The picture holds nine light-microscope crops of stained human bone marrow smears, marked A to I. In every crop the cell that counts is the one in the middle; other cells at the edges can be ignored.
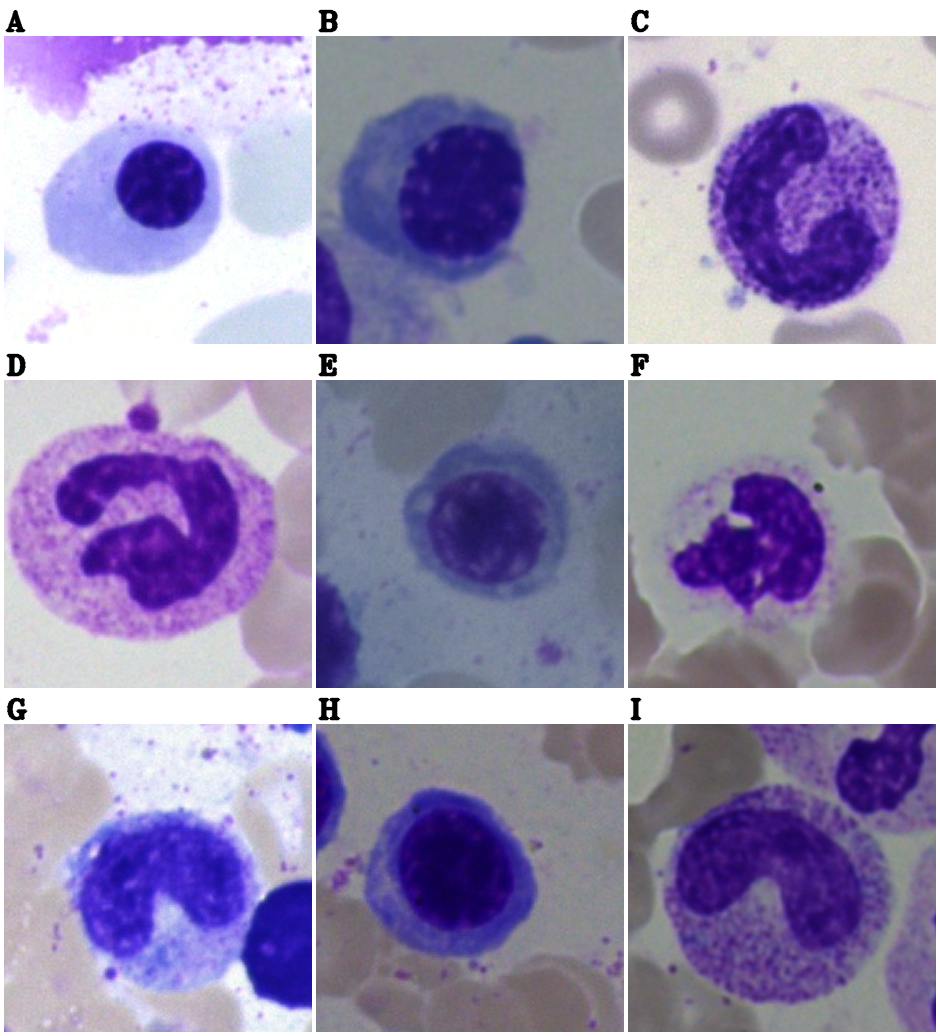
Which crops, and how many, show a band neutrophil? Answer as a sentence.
Here is the count: three crops show band neutrophils, namely C, G and I.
